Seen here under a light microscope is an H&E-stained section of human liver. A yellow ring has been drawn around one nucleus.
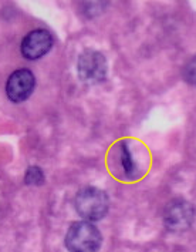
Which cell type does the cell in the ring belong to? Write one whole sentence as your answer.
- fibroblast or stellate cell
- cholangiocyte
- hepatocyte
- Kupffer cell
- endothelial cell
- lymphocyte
In short, the cell in the ring on this section is an endothelial cell.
